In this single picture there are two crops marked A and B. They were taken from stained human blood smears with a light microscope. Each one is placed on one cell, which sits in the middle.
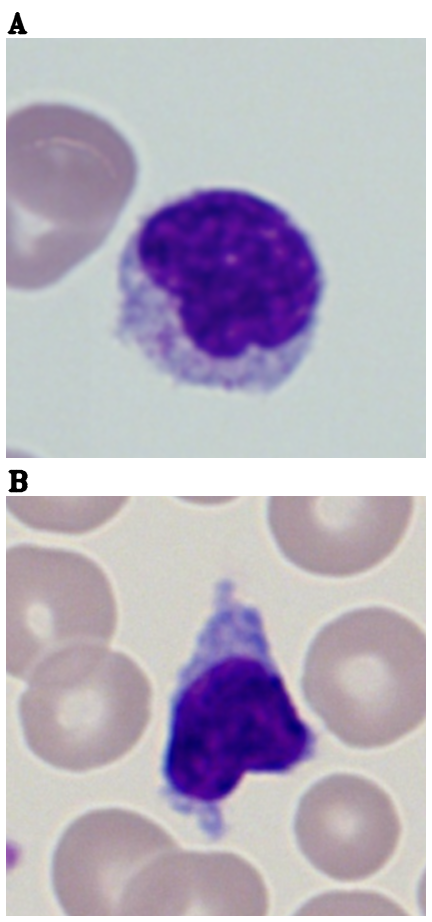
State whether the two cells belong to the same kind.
yes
